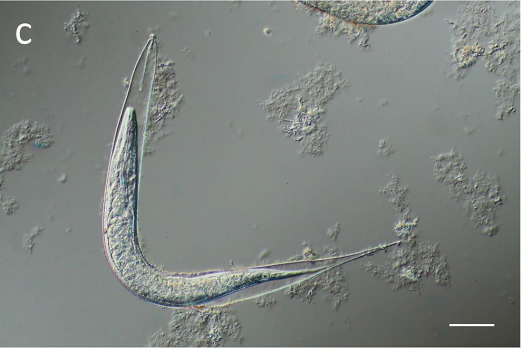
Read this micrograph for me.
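A whole nematode larva is seen in differential interference contrast, bent in an L shape with its granular gut visible along the body. It lies inside a thin, clear sheath of old cuticle that has not been cast off. The sheath runs out past the head and far past the tail as empty, pointed ends, so the animal looks trapped in a loose transparent tube.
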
